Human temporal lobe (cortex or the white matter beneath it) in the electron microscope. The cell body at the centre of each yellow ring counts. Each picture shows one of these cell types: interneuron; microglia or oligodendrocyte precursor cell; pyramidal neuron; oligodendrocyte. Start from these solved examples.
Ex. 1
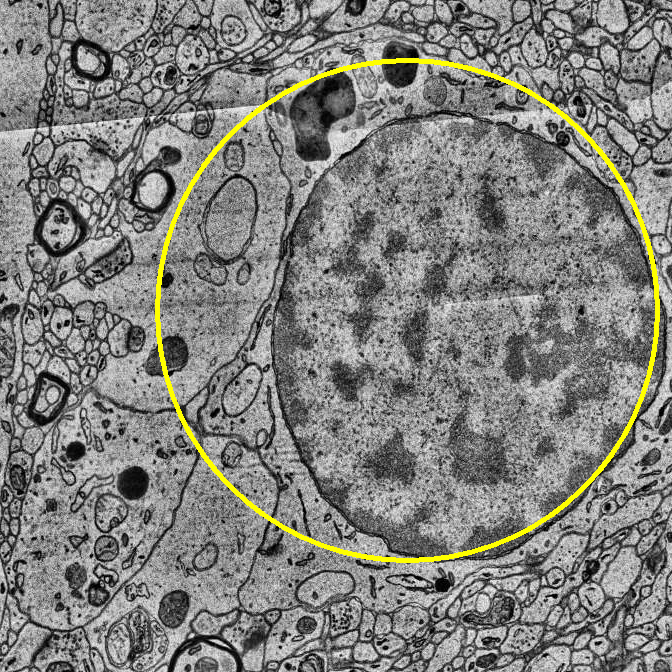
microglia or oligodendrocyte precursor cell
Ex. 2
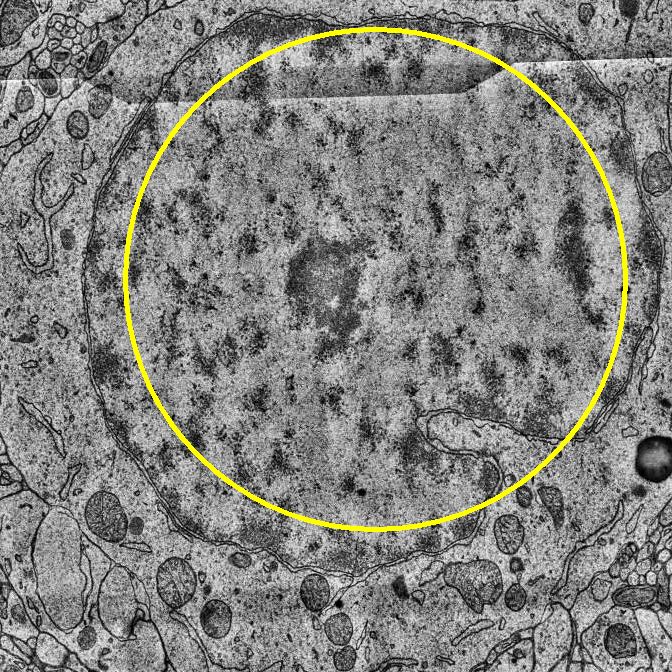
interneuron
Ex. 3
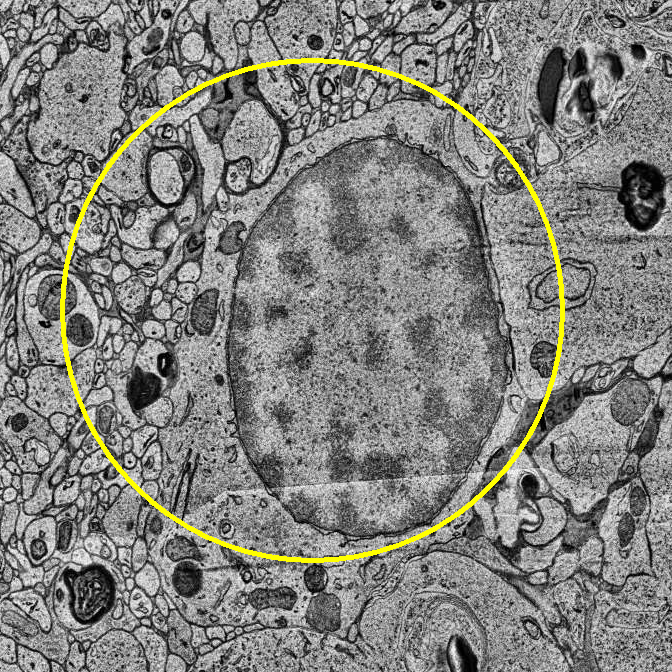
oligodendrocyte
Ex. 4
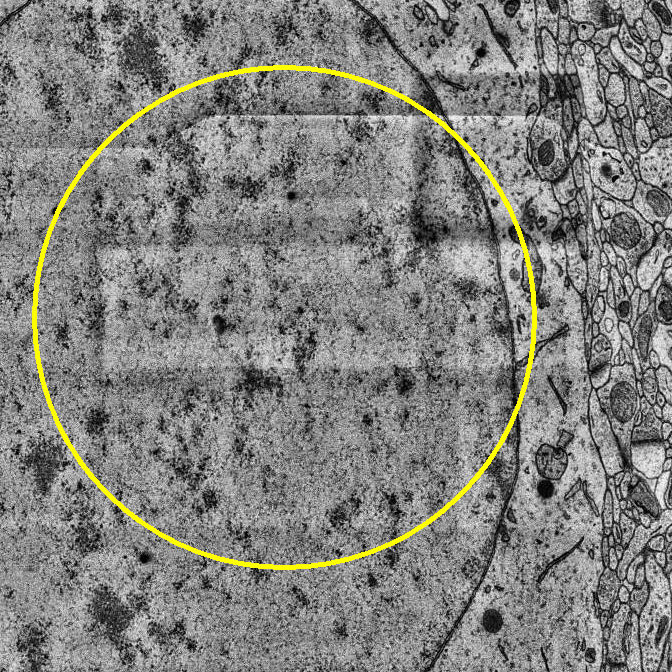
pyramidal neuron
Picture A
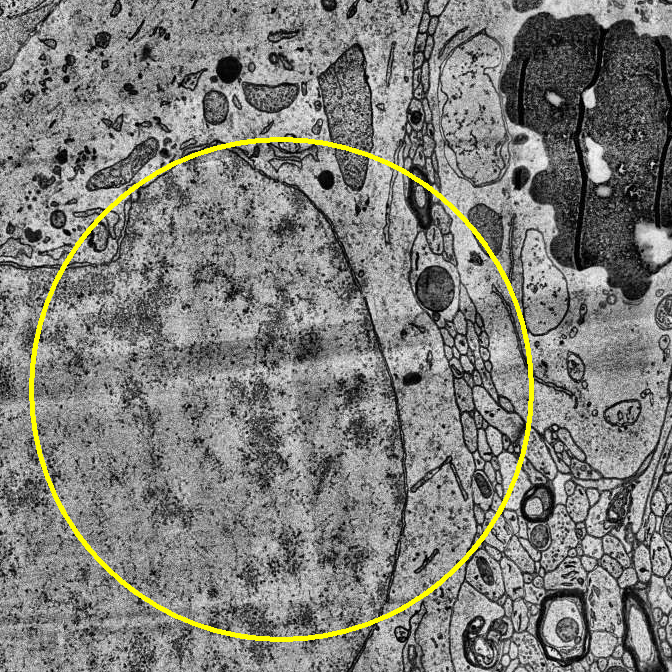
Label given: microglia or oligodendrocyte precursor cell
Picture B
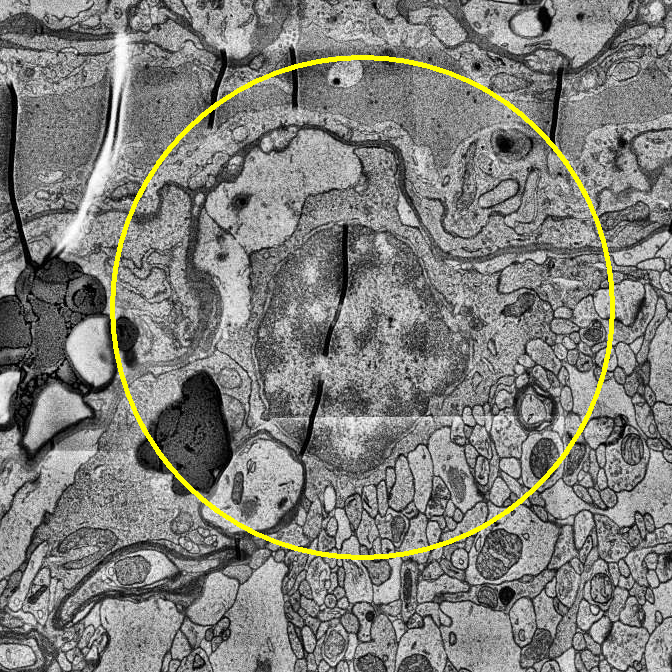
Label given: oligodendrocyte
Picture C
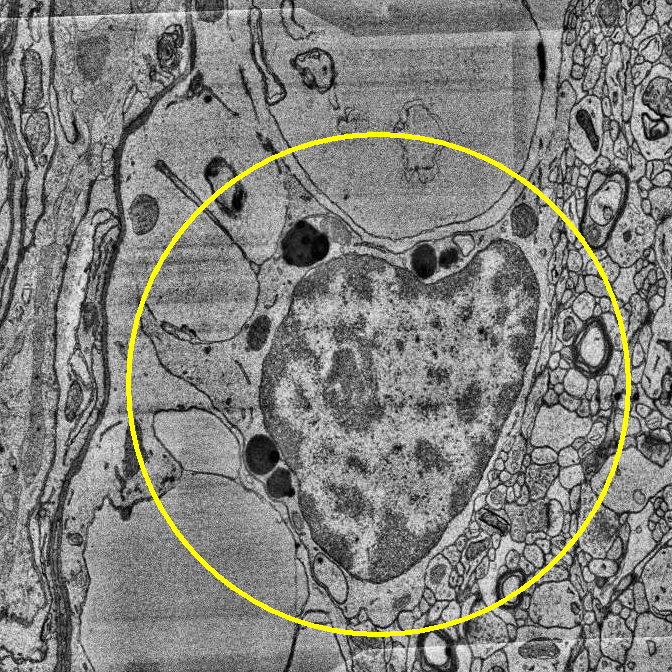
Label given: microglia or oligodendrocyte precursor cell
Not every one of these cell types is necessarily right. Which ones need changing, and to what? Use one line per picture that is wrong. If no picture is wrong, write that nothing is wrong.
A: change microglia or oligodendrocyte precursor cell to pyramidal neuron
